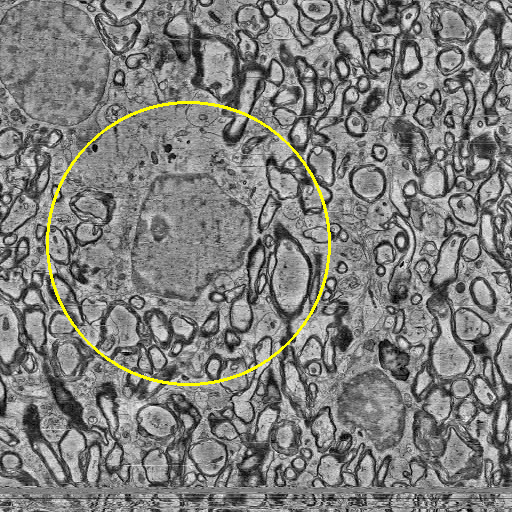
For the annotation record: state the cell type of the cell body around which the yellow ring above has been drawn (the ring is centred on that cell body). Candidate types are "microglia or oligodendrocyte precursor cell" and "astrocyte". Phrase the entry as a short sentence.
The ringed cell is an astrocyte.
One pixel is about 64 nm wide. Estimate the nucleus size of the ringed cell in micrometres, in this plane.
The ringed cell's nucleus is about 8 micrometres across in this plane.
